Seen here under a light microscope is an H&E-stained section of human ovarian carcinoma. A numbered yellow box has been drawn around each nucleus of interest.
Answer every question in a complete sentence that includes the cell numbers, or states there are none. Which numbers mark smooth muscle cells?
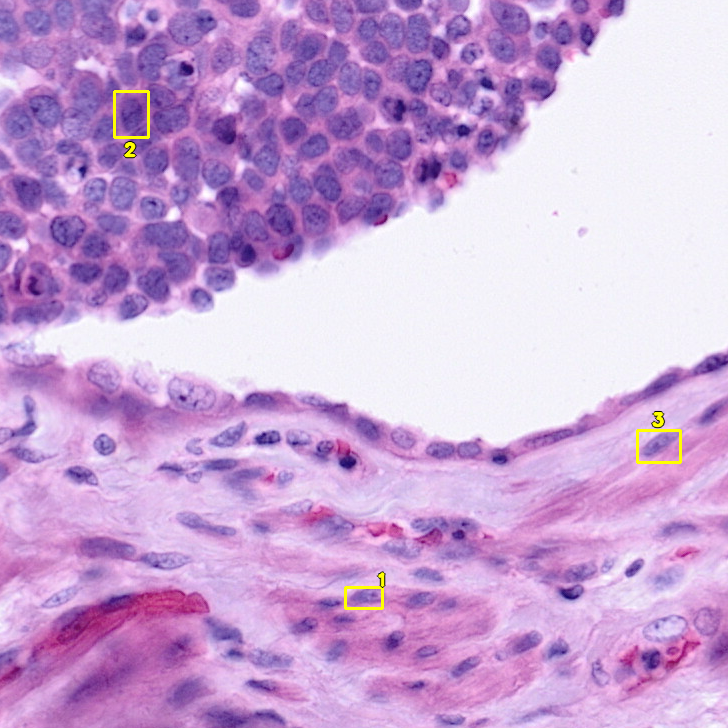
The cells which carry the numbers 1 and 3 are smooth muscle cells.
